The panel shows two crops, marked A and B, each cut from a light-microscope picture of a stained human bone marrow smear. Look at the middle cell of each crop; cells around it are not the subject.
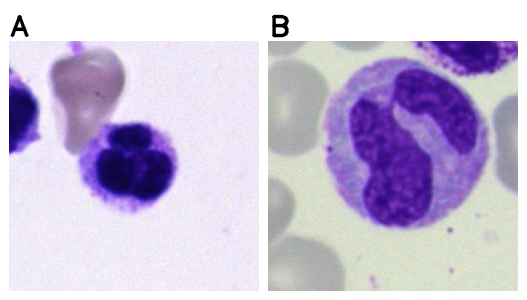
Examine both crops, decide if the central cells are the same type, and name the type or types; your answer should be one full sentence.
No, crop A presents a neutrophil, whereas crop B presents a monocyte.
